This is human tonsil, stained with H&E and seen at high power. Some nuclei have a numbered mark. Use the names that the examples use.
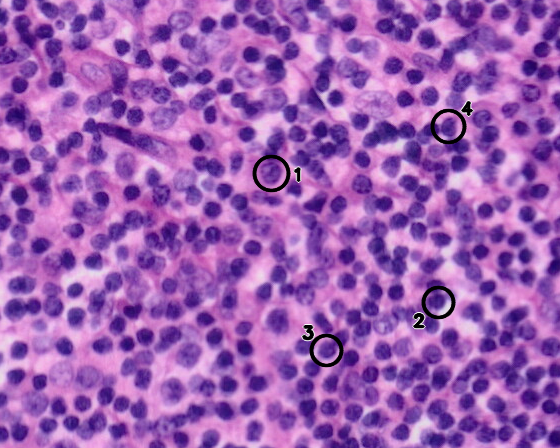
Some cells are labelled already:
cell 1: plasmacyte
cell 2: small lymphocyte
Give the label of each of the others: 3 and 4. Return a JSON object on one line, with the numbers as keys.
{"3": "small lymphocyte", "4": "small lymphocyte"}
